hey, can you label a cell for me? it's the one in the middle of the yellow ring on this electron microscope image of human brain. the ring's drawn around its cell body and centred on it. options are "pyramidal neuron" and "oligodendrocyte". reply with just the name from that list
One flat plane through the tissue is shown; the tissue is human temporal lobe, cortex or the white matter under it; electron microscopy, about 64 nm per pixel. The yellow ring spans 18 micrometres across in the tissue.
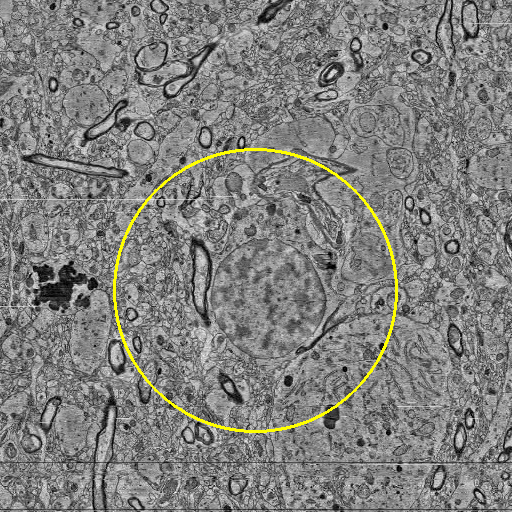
oligodendrocyte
